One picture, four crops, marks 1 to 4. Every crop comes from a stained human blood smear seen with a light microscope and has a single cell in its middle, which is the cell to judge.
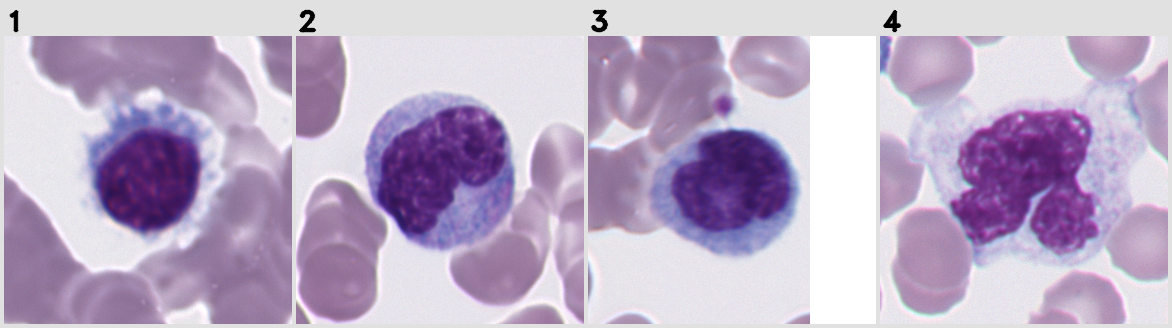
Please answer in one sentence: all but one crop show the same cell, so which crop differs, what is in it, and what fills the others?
Only crop 1 differs, being a hairy cell, while the others all show monocytes.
